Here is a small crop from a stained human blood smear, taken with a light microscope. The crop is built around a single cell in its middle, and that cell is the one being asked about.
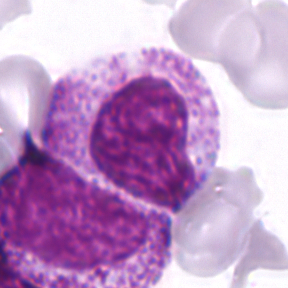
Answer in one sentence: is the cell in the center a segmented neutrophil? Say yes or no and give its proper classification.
No, in this crop the central cell is a band neutrophil instead of a segmented neutrophil.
